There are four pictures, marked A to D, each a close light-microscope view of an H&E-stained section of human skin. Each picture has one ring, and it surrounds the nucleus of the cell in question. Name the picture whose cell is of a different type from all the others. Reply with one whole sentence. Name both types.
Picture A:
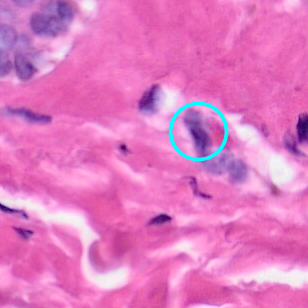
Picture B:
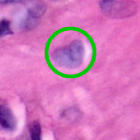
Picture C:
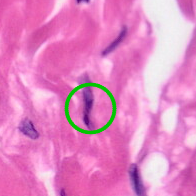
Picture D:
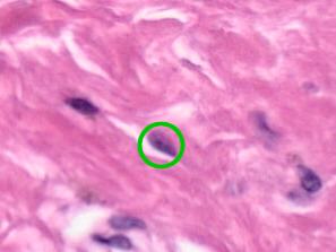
The others show fibroblasts, but picture A shows an endothelial cell.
